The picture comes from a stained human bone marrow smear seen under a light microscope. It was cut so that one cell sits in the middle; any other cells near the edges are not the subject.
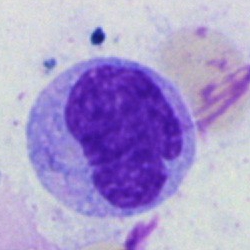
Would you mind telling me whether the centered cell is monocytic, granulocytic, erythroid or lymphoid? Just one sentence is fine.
Lineage-wise, the central cell here belongs with the monocytic series.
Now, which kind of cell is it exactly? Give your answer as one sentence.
The center cell of this crop is a monocyte.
